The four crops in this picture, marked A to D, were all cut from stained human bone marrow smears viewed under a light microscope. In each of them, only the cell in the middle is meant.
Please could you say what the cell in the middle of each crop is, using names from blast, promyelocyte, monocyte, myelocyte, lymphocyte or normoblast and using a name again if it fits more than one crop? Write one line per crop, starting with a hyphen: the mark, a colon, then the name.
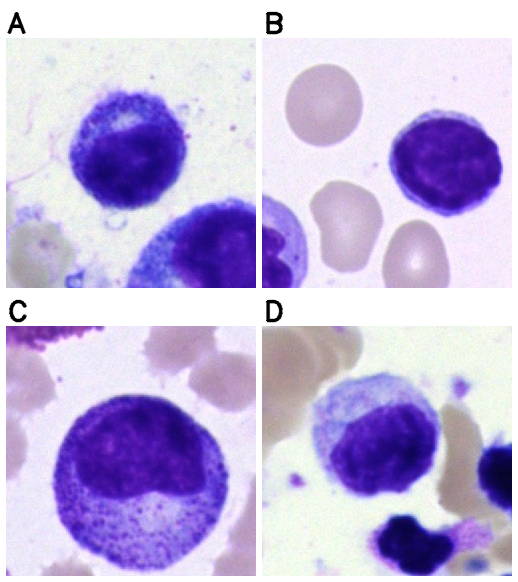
- A: myelocyte
- B: lymphocyte
- C: promyelocyte
- D: myelocyte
